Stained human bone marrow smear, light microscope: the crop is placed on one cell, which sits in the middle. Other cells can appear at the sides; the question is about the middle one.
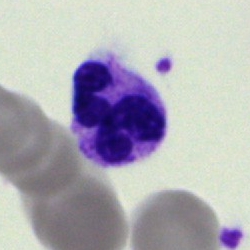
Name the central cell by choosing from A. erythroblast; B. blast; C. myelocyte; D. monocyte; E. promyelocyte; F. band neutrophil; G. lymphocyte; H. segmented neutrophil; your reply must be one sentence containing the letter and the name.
The correct response is option H, naming the cell in the middle as a segmented neutrophil.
